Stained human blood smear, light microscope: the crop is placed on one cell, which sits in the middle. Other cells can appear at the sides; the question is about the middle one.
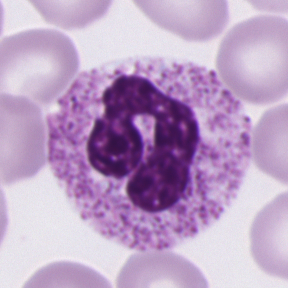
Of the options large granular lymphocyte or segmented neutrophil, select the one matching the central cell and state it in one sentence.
The cell found in the middle of this crop is a segmented neutrophil.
